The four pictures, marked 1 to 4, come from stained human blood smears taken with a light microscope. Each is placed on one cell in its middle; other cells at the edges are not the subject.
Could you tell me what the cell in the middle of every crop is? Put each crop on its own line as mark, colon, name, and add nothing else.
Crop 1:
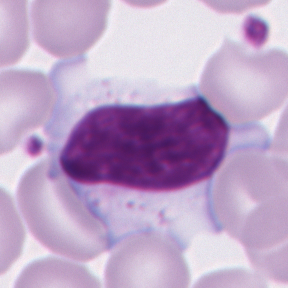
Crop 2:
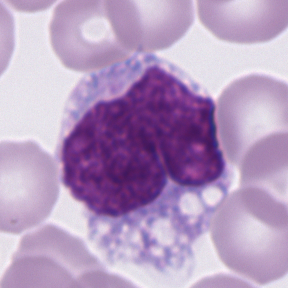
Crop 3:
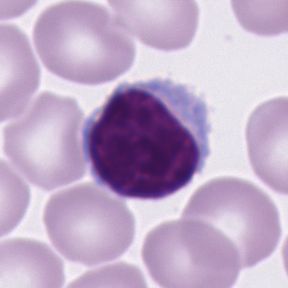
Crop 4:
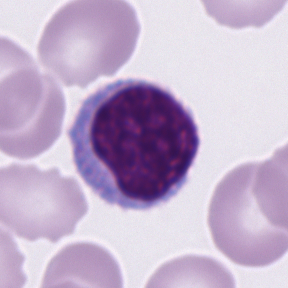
1: large granular lymphocyte
2: monocyte
3: typical lymphocyte
4: typical lymphocyte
